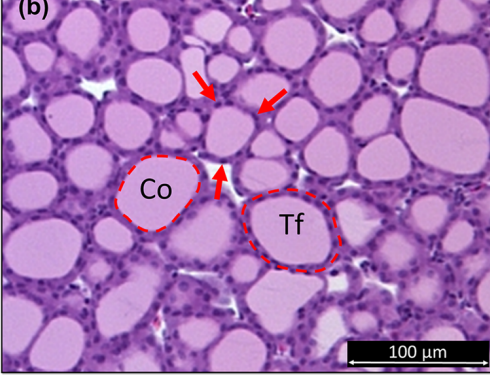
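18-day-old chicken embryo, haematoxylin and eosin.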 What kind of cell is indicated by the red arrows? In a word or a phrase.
Epithelial cells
